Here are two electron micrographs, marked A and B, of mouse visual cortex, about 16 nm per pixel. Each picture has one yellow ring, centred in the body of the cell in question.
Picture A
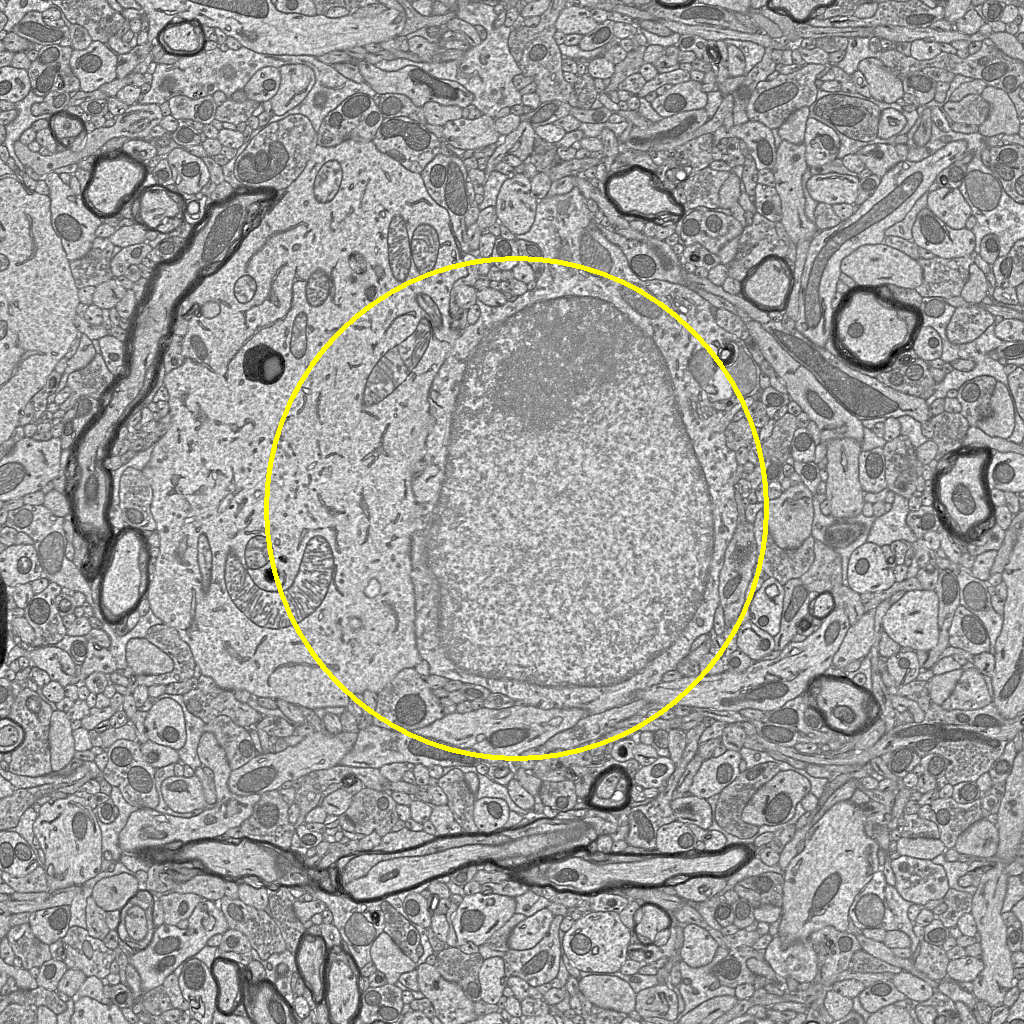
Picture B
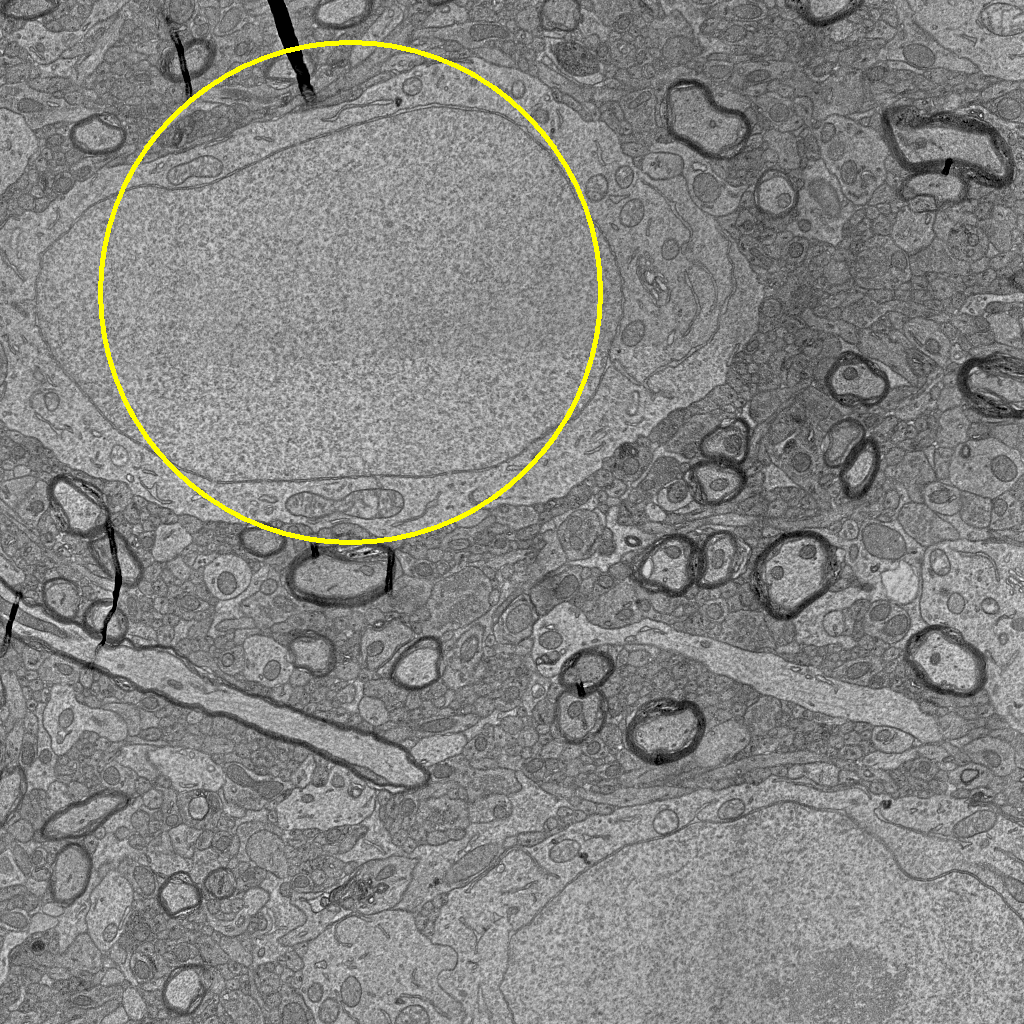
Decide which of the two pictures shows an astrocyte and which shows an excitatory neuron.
Picture B shows an excitatory neuron, while picture A shows an astrocyte.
